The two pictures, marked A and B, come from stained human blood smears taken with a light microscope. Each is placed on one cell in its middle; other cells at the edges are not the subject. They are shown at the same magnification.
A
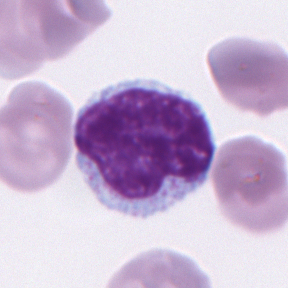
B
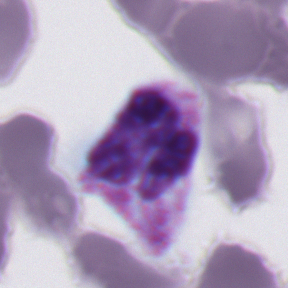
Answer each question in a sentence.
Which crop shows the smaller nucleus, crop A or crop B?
Crop B shows the smaller nucleus, since that in crop A covers about 1.5 times as much area.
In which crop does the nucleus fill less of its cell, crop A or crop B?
In crop B the nucleus takes up the smaller part of its cell.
